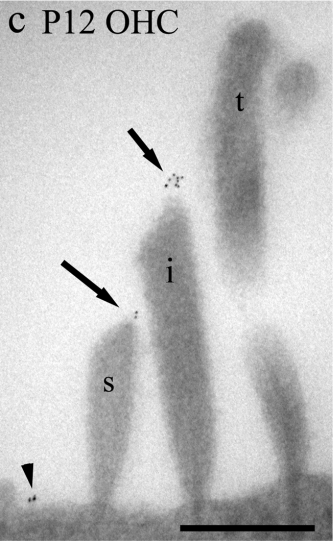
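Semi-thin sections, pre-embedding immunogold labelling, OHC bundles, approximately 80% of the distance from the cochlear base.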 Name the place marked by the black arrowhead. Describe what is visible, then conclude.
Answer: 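Apical membrane. The arrowhead points to gold particles at the flat surface from which the projections rise. The marked spot lies at the base, not on a projection.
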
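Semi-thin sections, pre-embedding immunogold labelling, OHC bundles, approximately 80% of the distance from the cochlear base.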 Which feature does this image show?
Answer: Three ranked rows.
